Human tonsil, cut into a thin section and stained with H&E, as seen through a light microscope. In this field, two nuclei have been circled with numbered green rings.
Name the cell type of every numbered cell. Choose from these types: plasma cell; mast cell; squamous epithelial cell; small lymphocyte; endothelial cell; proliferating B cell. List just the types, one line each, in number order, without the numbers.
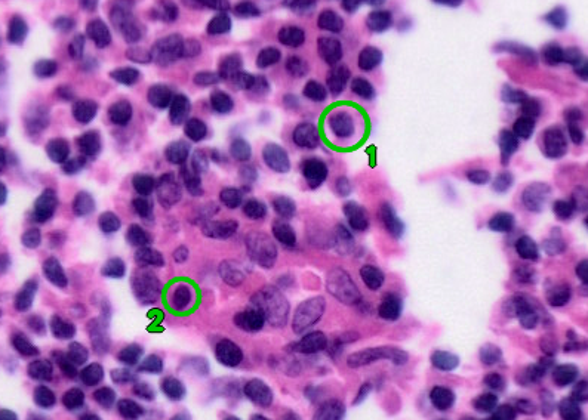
small lymphocyte
endothelial cell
